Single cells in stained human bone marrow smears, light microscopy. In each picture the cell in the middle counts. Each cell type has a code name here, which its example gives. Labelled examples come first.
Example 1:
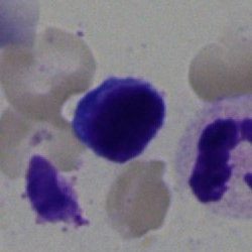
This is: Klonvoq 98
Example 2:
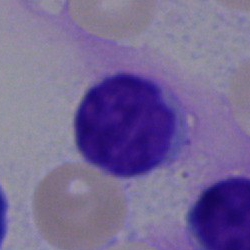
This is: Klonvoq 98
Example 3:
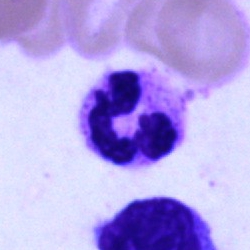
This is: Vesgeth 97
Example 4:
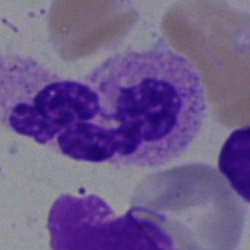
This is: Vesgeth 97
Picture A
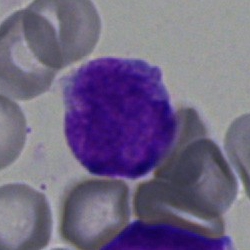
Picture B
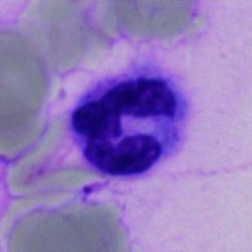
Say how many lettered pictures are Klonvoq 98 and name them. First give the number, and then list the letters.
1: A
